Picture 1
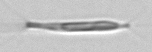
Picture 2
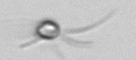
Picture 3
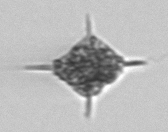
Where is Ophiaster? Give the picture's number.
2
